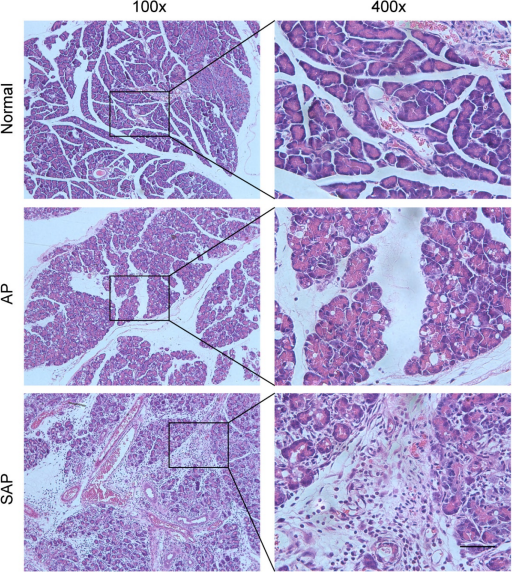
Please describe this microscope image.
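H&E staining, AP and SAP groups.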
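In the top row, lobules of tightly packed purple acini are separated by thin pale septa containing small ducts and vessels. In the middle row, the pale spaces between lobules are widened, and in the bottom row the lobular pattern is disrupted, with the interstitium crowded by many small dark nuclei and red blood cells among scattered remaining acini.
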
